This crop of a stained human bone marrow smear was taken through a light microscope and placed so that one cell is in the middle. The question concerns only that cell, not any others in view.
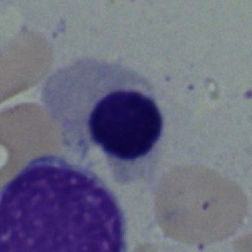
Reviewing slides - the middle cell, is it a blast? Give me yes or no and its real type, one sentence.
No, the central cell qualifies as a normoblast rather than as a blast.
